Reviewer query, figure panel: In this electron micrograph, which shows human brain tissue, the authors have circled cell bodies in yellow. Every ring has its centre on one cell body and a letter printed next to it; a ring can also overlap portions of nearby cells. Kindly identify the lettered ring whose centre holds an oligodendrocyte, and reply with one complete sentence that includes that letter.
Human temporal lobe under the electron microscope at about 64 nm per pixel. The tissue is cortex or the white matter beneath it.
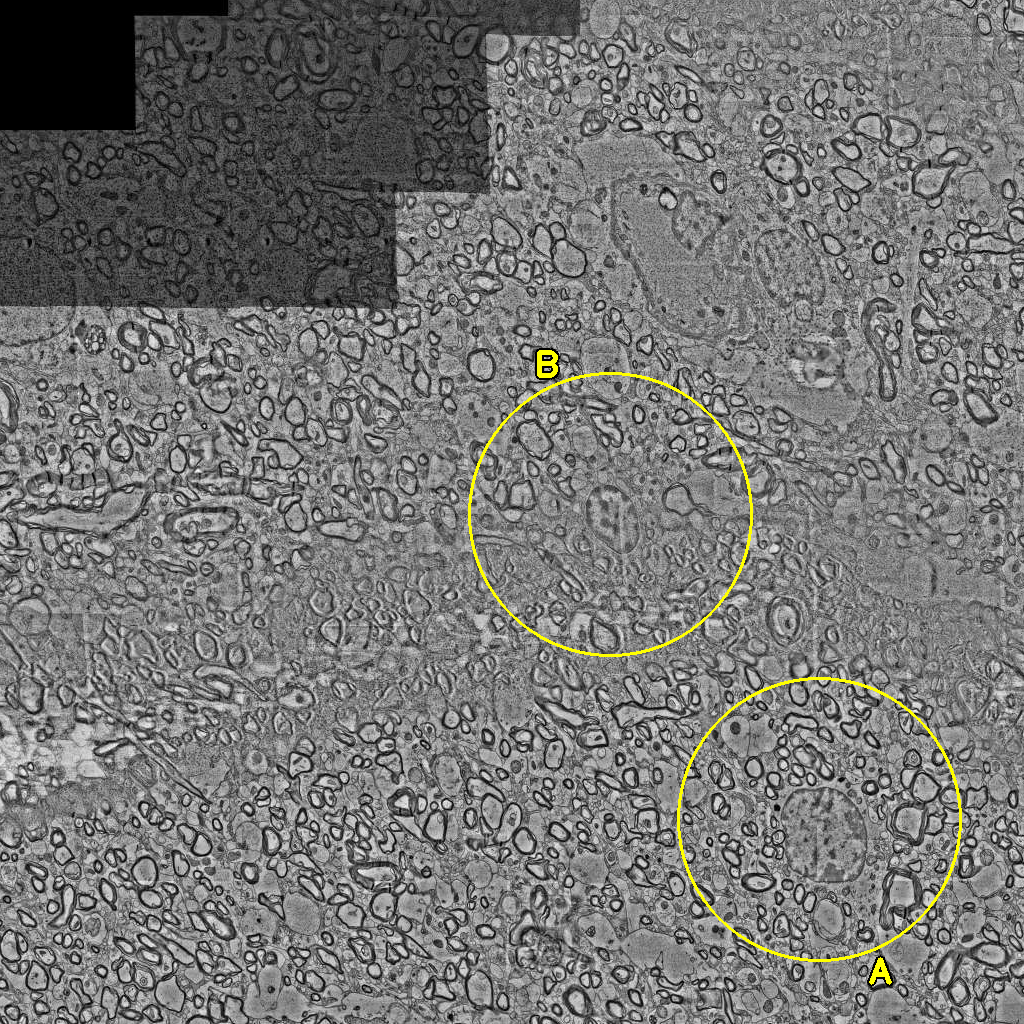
In this figure panel, the ring labelled A has the cell asked for at its centre.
